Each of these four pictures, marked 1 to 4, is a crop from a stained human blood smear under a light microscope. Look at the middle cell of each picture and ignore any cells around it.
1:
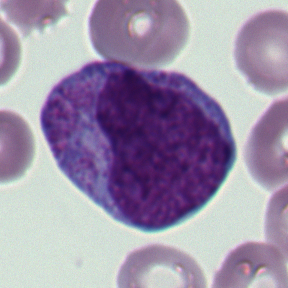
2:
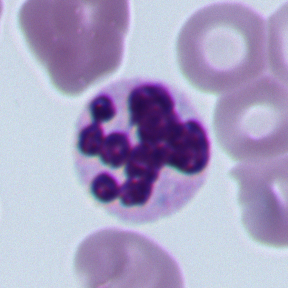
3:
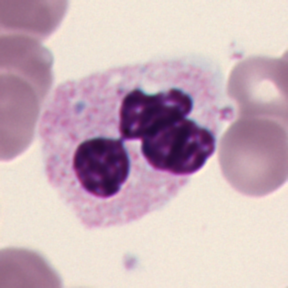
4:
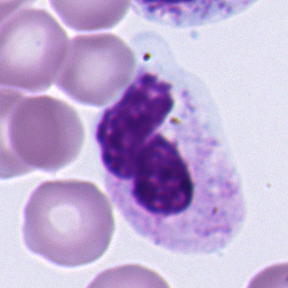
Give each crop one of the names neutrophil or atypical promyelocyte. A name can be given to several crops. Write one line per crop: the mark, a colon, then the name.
1: atypical promyelocyte
2: neutrophil
3: neutrophil
4: neutrophil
